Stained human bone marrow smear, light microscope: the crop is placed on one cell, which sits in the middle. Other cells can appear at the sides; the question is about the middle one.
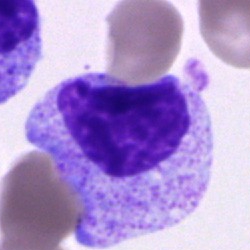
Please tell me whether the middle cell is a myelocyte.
yes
